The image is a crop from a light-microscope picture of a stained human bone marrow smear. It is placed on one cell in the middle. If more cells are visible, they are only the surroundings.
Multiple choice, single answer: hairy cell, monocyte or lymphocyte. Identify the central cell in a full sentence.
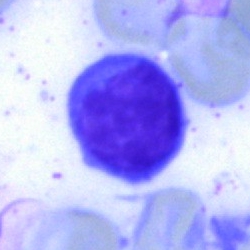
In this crop, the cell at the very middle is a lymphocyte.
